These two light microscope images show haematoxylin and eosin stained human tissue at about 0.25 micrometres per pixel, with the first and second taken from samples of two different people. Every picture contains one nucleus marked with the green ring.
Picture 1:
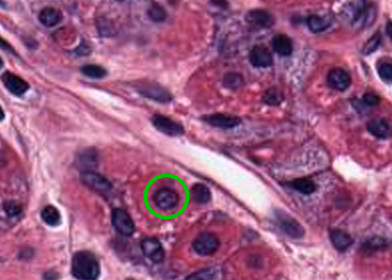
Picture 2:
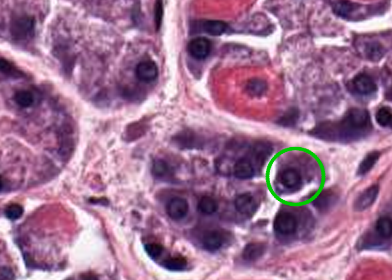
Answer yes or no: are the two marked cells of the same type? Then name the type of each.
No, the first is a parietal cell and the second a chief cell.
